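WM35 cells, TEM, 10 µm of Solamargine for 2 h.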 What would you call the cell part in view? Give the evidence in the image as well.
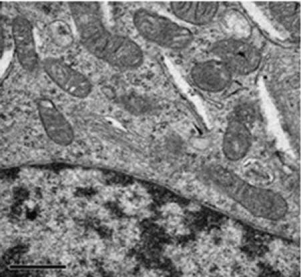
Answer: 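Elongated and oval organelles with visible cristae lie in the cytoplasm. A nucleus with clumped chromatin occupies the lower part.
Mitochondria.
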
